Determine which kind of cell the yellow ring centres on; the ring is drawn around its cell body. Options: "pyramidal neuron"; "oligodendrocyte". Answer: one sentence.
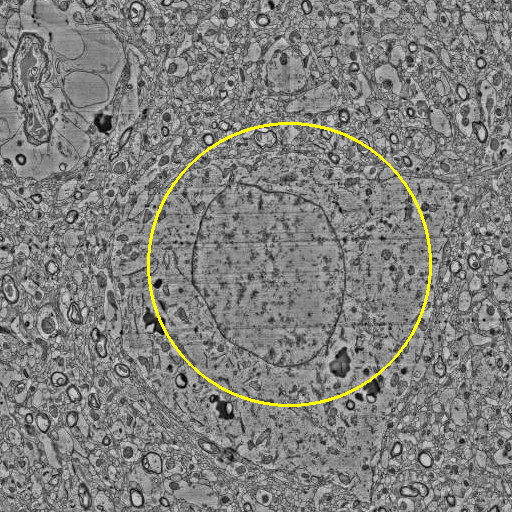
The ring centres on a pyramidal neuron.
